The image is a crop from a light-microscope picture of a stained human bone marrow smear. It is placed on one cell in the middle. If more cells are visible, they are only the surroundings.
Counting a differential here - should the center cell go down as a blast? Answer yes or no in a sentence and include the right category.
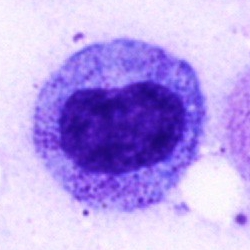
No, it is not a blast that lies in the middle but a promyelocyte.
